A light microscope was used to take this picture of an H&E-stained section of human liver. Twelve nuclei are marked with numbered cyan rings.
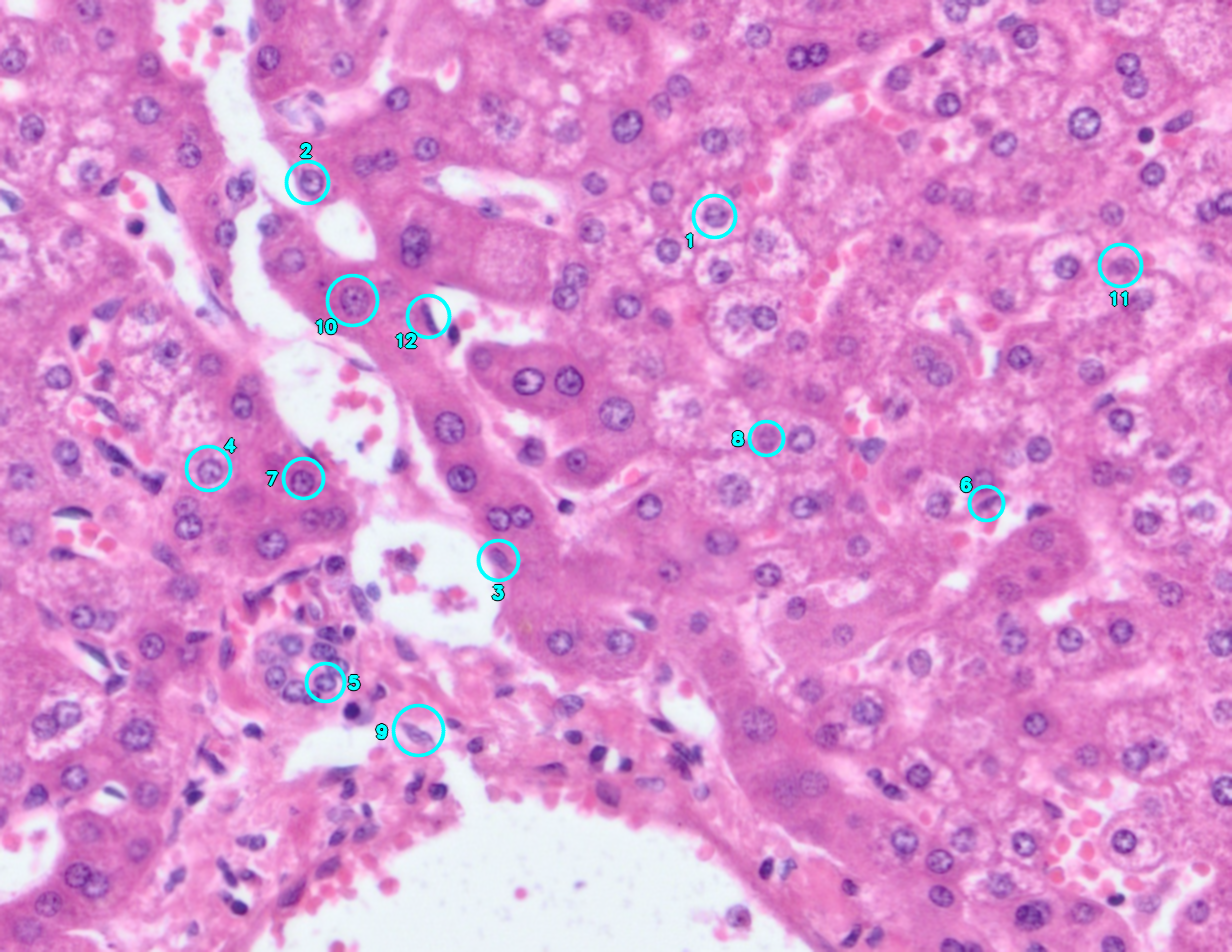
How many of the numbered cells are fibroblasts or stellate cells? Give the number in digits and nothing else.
3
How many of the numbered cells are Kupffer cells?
1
